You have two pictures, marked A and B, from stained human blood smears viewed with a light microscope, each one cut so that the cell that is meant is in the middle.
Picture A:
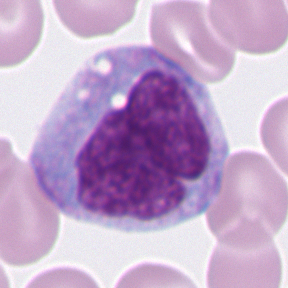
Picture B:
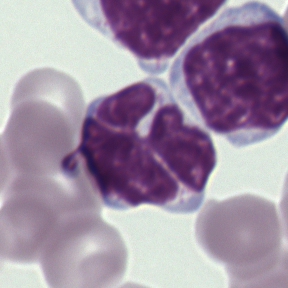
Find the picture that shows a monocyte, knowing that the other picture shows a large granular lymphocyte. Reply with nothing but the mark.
A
